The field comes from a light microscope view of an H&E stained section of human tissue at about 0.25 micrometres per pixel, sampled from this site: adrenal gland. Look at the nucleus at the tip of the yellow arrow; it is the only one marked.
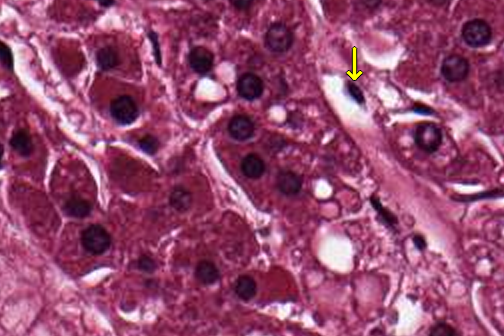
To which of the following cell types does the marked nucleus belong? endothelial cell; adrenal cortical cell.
endothelial cell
